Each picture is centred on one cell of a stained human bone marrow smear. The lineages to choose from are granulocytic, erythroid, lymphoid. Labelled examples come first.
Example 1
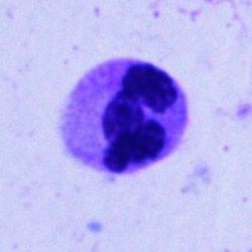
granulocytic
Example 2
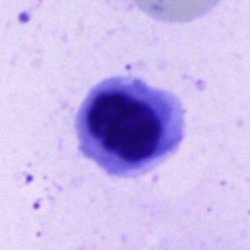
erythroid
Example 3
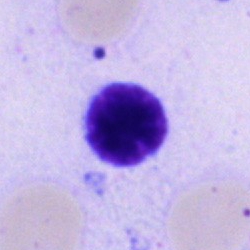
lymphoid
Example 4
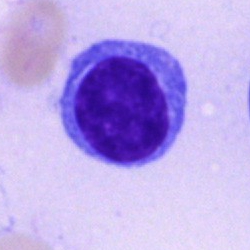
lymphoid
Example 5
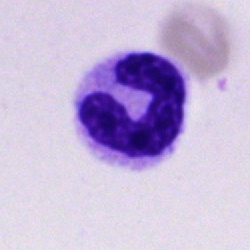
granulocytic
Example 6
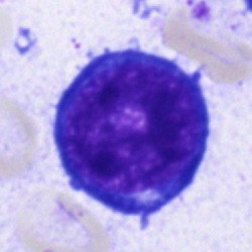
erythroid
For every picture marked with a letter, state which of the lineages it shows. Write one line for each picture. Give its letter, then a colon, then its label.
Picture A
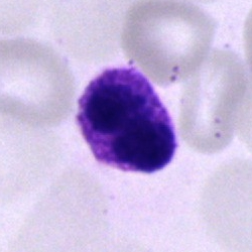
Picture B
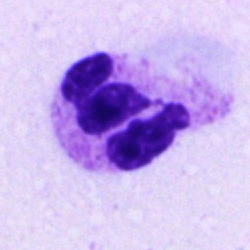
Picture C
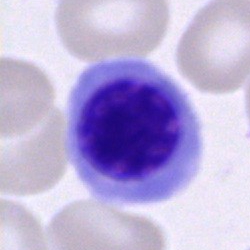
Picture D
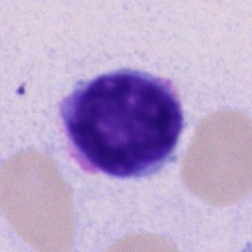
A: granulocytic
B: granulocytic
C: erythroid
D: lymphoid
